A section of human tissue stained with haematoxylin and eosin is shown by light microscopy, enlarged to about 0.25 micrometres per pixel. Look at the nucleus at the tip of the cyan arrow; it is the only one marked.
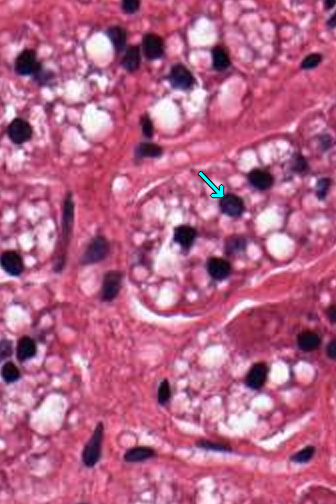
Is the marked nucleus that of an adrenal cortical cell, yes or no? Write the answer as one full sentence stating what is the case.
Yes, the marked nucleus is to be read as that of an adrenal cortical cell.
